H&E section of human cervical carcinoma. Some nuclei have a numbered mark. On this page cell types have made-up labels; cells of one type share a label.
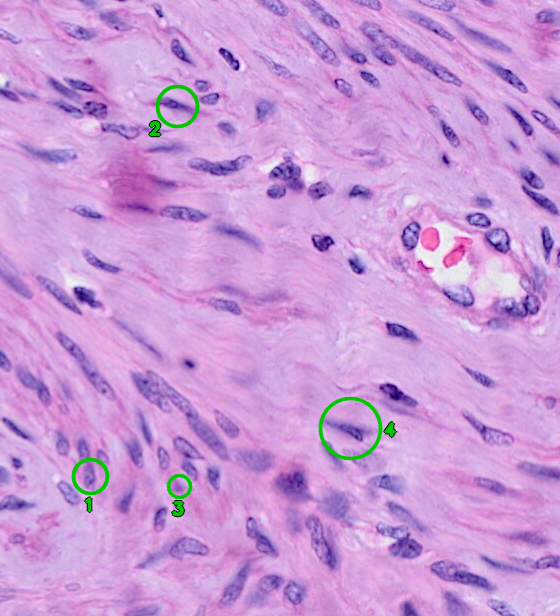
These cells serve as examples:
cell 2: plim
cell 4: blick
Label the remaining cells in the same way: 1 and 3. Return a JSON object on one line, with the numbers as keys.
{"1": "plim", "3": "plim"}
